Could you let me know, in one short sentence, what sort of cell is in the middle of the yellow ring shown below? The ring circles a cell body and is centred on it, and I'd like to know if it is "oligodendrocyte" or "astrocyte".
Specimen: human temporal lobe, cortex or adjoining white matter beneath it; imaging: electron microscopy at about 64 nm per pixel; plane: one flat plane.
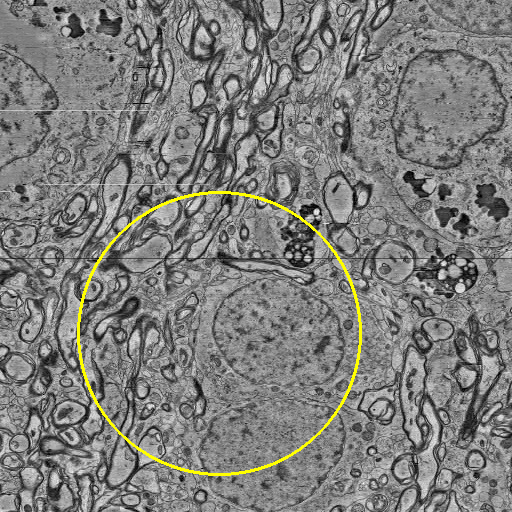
The ring circles the cell body of an astrocyte.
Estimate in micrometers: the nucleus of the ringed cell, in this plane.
About 9 micrometres by about 7 micrometres in this plane.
